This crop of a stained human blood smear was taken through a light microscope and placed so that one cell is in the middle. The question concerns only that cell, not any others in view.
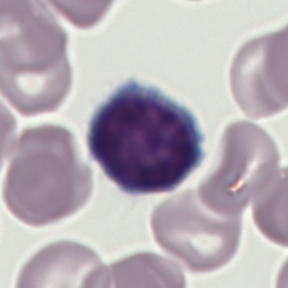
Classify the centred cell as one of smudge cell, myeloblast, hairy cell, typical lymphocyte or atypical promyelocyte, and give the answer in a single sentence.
The central cell, amid any neighbouring cells, is a typical lymphocyte.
